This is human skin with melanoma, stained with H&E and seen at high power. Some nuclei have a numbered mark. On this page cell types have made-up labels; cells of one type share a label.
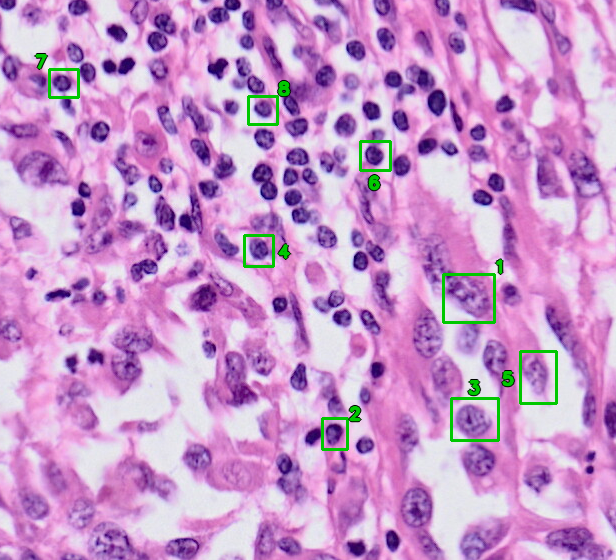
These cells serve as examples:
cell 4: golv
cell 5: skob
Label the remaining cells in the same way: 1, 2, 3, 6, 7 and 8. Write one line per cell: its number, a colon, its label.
1: skob
2: golv
3: skob
6: golv
7: golv
8: golv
